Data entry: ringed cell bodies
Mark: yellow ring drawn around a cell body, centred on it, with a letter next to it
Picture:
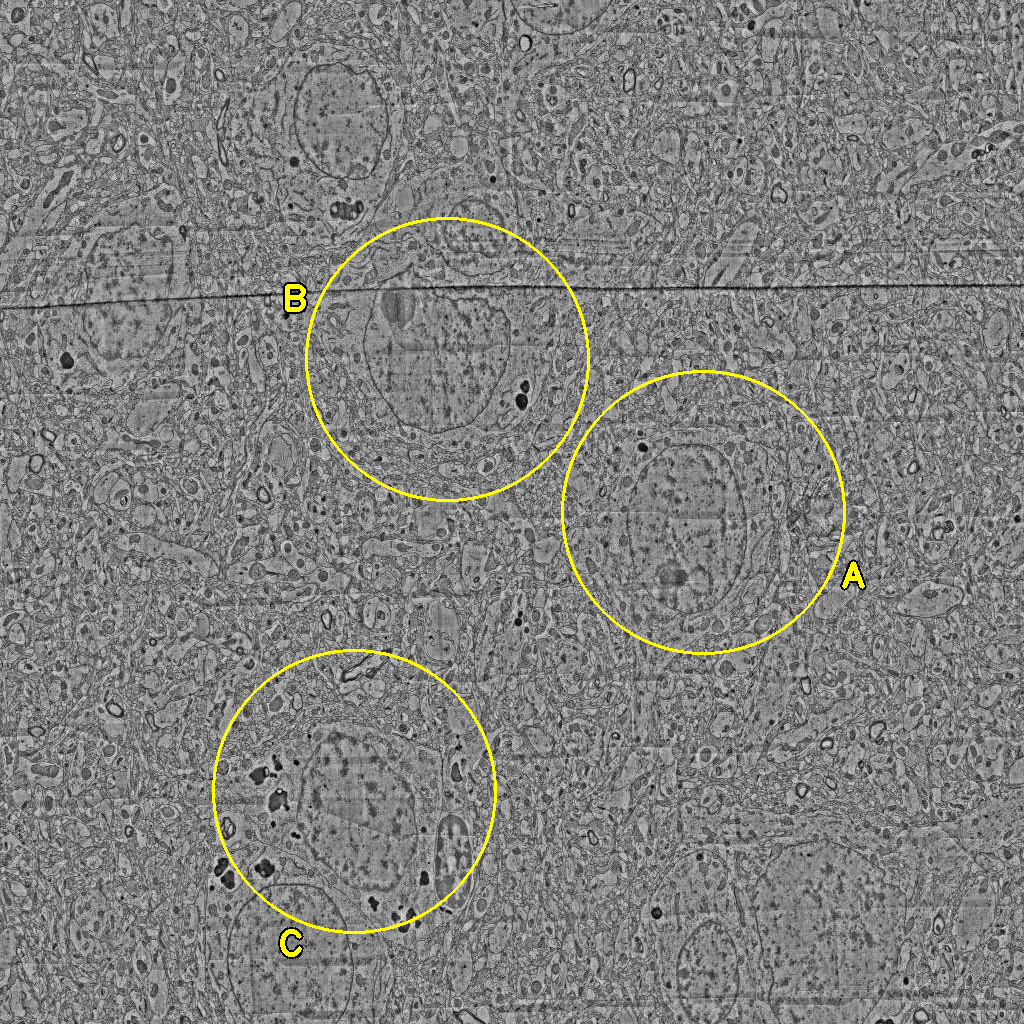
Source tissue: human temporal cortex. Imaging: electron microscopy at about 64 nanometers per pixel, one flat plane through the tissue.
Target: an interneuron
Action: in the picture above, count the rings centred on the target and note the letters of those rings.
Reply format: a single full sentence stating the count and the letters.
The single ring that is centred on an interneuron has the letter C beside it.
